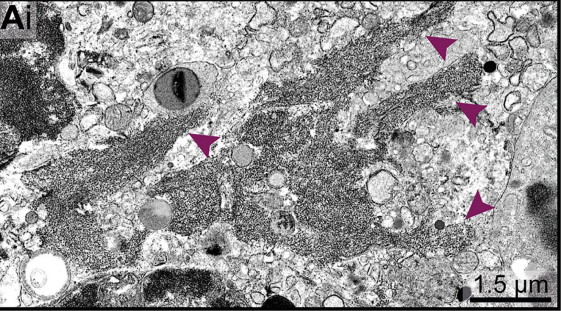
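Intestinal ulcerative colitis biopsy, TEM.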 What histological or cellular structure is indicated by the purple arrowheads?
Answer: decondensed chromatin spread extracellularly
